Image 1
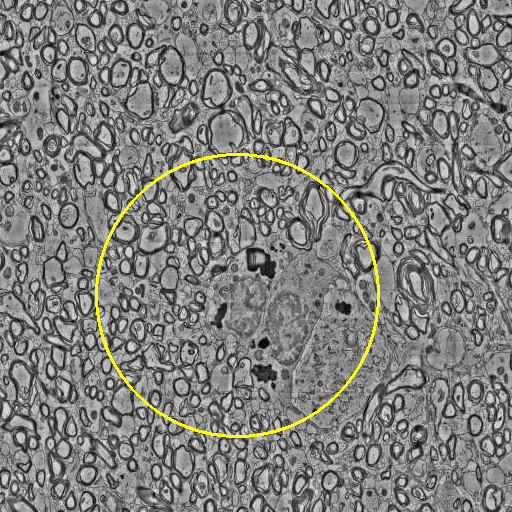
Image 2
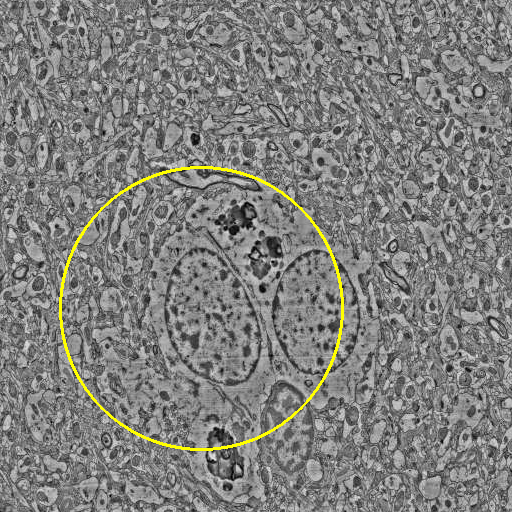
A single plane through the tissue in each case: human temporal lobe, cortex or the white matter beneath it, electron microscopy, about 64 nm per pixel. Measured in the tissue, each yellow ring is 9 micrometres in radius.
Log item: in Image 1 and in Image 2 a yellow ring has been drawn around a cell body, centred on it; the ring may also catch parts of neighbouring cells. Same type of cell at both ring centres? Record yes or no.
no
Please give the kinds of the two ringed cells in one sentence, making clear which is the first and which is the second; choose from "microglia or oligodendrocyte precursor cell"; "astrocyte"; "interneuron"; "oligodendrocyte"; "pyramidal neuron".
In the second picture the ringed cell is an astrocyte; in the first it is an oligodendrocyte.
